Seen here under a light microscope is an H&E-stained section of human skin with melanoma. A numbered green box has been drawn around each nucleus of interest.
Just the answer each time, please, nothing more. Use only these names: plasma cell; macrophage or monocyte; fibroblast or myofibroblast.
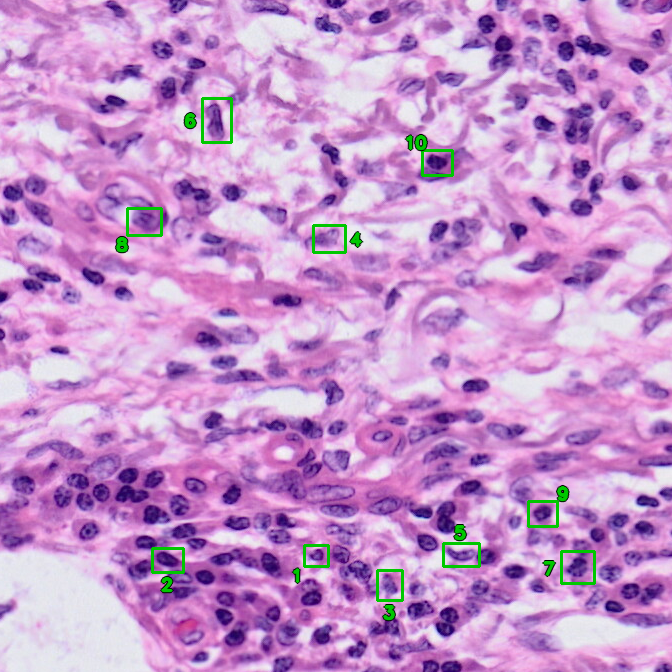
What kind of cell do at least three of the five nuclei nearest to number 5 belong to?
plasma cell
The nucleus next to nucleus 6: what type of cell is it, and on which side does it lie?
a fibroblast or myofibroblast; above and to the right of nucleus 6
